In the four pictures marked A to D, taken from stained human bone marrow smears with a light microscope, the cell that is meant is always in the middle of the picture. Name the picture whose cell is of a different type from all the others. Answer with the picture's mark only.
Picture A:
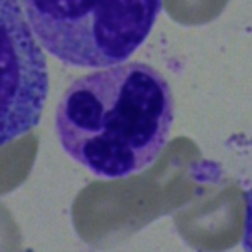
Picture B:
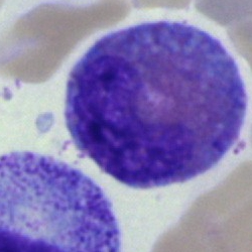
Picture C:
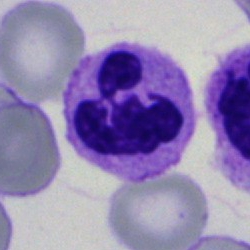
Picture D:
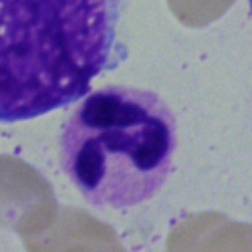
B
